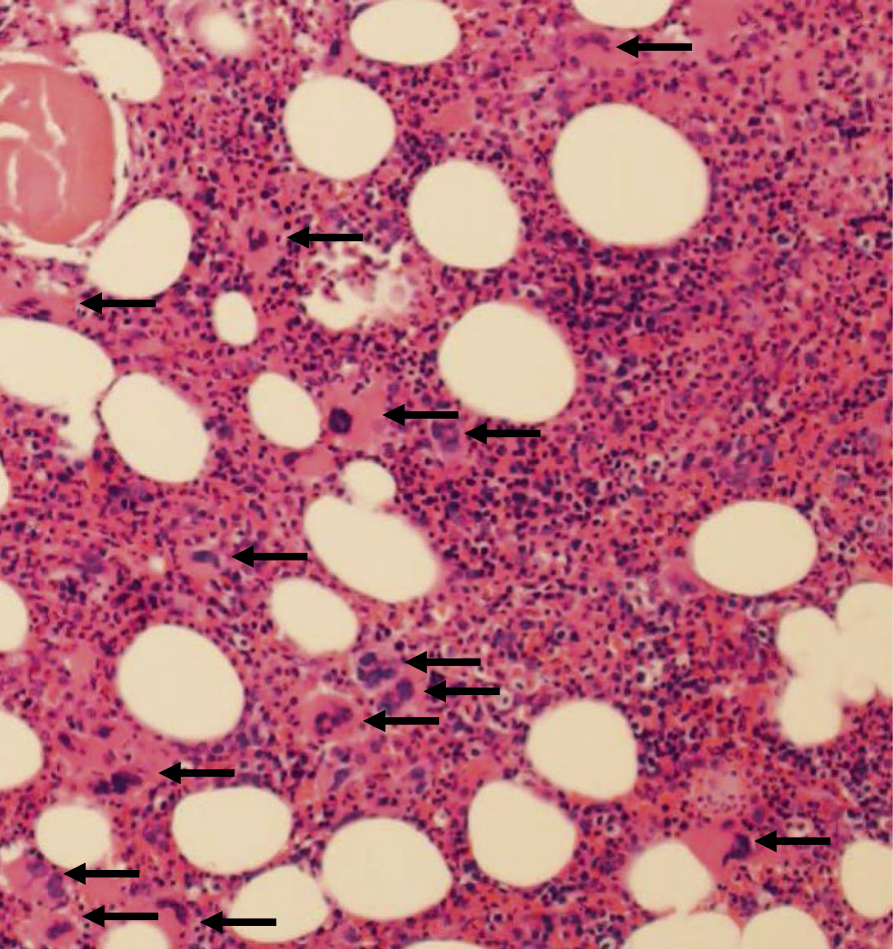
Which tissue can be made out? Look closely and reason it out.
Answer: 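Round empty fat spaces lie scattered among dense hematopoietic cells. Mixed small dark-nucleated cells and very large cells fill the spaces between the fat.
Conclusion: Bone marrow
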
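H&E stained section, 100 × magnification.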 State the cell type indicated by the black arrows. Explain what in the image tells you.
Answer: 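Megakaryocytes. The arrowed cells are much larger than the surrounding marrow cells. They have abundant pink cytoplasm. Their nuclei are large, dark and lobulated or irregular.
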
